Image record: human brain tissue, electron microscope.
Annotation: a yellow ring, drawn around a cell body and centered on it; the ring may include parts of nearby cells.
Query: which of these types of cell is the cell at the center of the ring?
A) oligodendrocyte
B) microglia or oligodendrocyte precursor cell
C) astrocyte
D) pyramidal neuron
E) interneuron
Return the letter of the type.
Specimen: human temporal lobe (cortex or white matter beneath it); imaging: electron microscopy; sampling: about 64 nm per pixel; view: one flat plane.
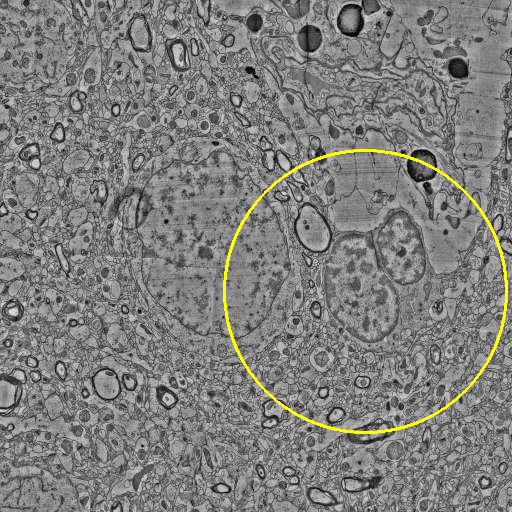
A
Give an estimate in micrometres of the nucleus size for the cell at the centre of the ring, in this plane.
Roughly 7 by 6 micrometres in this plane, for the nucleus of the ringed cell.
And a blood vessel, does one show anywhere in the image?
Yes.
